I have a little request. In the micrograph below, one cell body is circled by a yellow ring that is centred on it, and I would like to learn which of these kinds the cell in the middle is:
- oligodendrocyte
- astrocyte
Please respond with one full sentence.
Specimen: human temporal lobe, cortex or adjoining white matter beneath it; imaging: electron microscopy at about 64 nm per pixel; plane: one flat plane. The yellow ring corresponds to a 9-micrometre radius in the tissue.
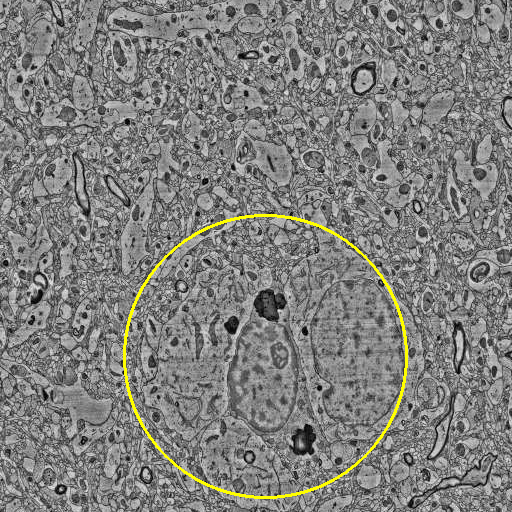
The cell sitting in the middle of the yellow ring in the micrograph is an oligodendrocyte.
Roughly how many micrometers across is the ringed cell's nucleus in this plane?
In this plane the nucleus is clearly longer than it is wide, at approximately 7 by 4 micrometres.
